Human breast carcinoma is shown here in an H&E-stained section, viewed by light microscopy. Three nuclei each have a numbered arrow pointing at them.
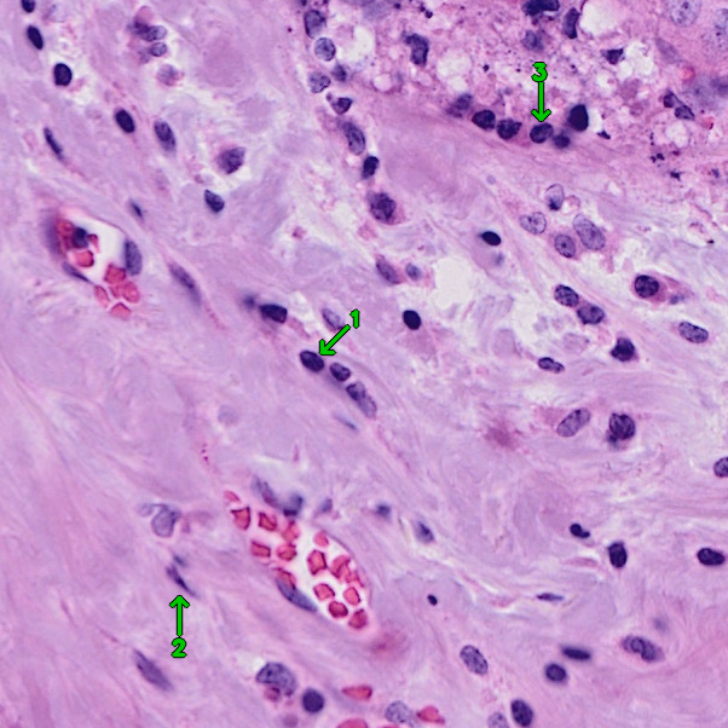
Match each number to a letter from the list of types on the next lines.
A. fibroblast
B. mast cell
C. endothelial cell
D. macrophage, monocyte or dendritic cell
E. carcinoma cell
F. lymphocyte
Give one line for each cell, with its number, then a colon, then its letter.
1: F
2: A
3: F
